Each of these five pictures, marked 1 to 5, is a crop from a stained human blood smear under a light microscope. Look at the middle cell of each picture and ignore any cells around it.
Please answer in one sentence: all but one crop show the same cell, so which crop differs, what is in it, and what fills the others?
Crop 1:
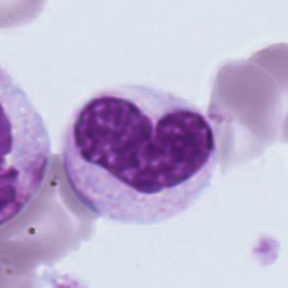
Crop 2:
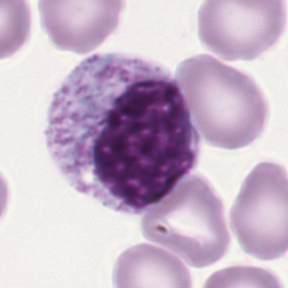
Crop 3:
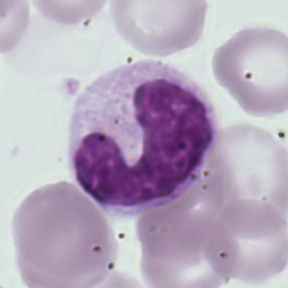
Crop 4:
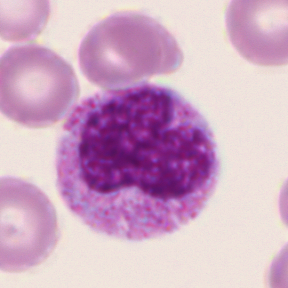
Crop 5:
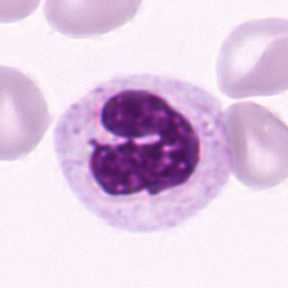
Crop 2 shows a metamyelocyte, while all of the others show band neutrophils.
